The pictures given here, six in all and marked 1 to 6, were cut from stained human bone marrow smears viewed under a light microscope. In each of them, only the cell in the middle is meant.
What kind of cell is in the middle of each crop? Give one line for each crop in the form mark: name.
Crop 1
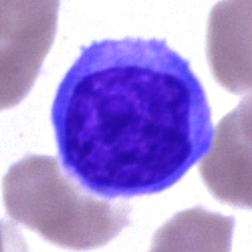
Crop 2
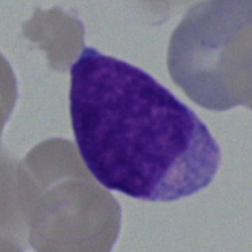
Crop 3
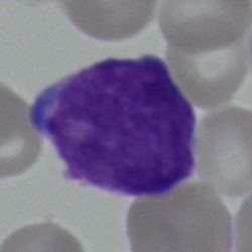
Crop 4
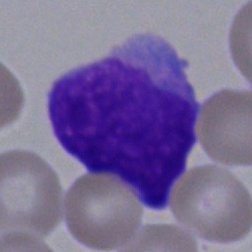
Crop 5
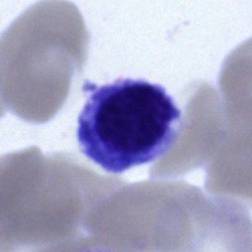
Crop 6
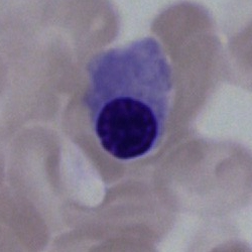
1: blast
2: blast
3: blast
4: blast
5: normoblast
6: normoblast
